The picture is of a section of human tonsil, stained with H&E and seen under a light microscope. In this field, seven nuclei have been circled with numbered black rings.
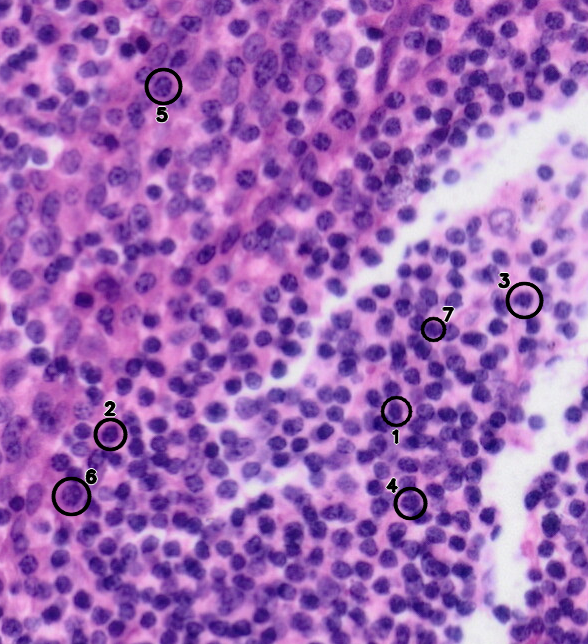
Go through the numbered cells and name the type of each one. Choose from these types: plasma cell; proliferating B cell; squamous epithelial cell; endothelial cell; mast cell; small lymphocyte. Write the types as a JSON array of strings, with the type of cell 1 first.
["small lymphocyte", "plasma cell", "small lymphocyte", "small lymphocyte", "plasma cell", "plasma cell", "small lymphocyte"]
